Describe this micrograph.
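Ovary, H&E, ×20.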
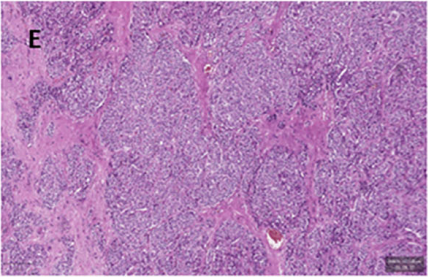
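The fibrous bands are paucicellular, eosinophilic and of varying thickness, and they branch between the cell groups. Within the lobules, cells are crowded, with purple nuclei and pink cytoplasm, giving a mottled appearance. Small vessels lie within some of the stromal bands, one containing red blood cells near the lower edge.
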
